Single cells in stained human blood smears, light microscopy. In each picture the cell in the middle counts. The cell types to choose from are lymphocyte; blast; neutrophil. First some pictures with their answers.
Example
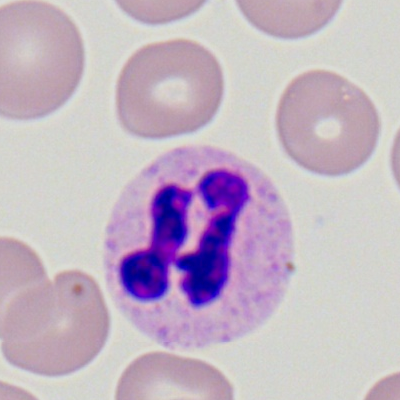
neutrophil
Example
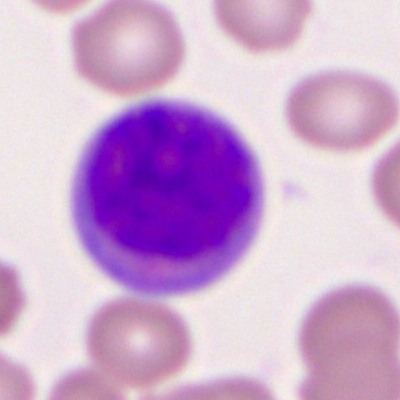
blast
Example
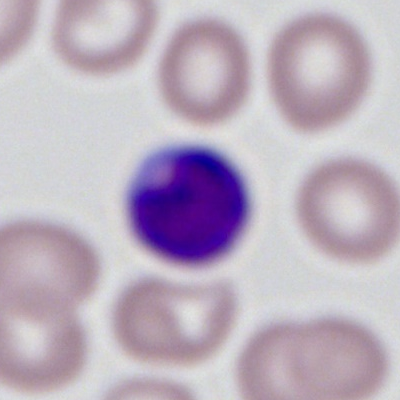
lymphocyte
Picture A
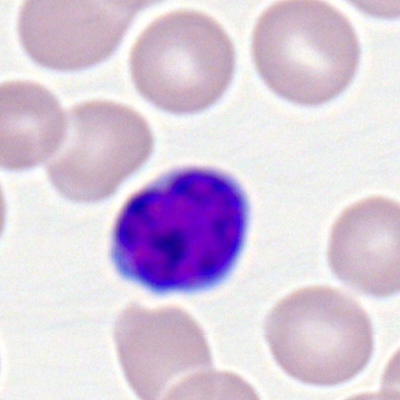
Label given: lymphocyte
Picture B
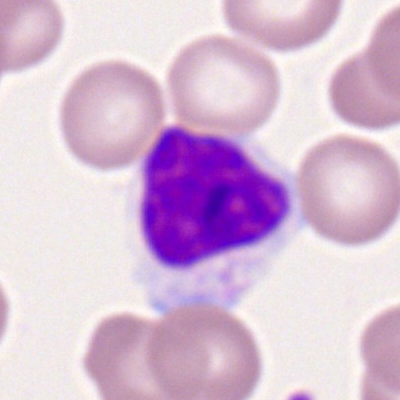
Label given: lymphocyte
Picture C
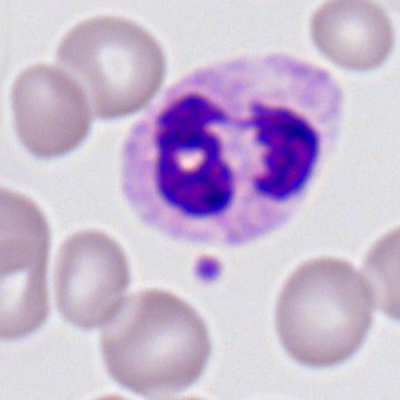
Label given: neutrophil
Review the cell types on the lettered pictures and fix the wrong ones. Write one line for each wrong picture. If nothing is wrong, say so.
None of the labels needs changing.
